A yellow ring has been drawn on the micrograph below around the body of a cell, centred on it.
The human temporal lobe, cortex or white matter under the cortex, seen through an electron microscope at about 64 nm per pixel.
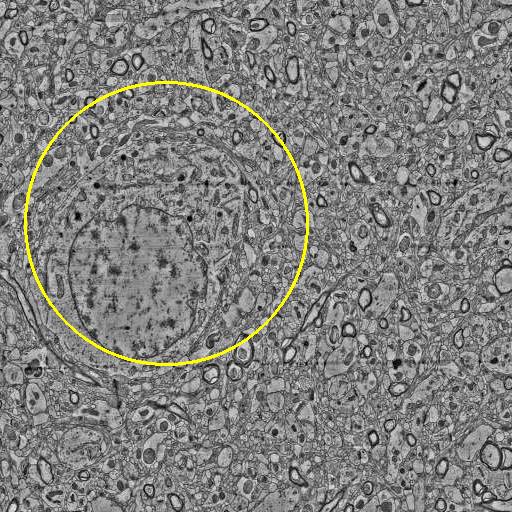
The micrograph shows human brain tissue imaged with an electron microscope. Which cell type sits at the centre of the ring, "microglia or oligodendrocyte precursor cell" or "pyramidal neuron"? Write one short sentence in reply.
The cell sitting at the centre of the ring is a pyramidal neuron.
